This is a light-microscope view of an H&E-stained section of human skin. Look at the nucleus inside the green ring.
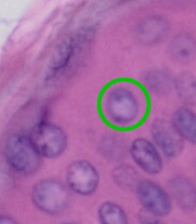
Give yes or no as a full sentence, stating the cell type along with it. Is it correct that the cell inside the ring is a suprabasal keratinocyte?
Yes, the cell inside the ring has been classified as a suprabasal keratinocyte.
